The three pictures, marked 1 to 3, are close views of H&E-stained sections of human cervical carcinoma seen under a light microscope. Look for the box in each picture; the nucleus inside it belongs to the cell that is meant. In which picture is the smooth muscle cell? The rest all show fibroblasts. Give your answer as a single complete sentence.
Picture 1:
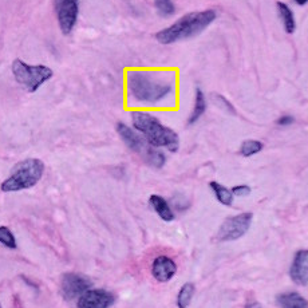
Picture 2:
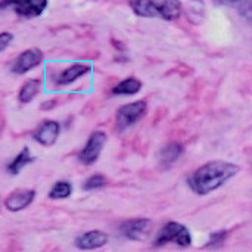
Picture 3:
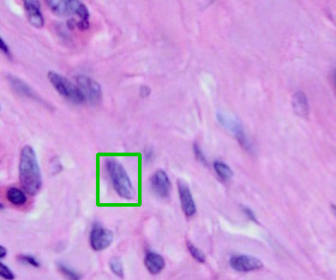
The cell in picture 2 is the smooth muscle cell.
